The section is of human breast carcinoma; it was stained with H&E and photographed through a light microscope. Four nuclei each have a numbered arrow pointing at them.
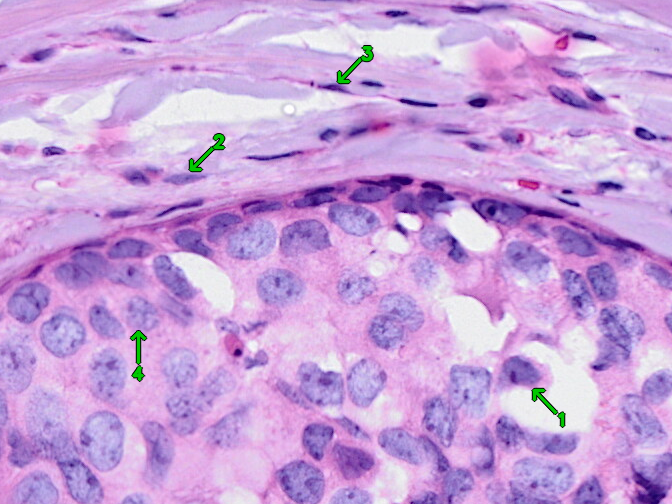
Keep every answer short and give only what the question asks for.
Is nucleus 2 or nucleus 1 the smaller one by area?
2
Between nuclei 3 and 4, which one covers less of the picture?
3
